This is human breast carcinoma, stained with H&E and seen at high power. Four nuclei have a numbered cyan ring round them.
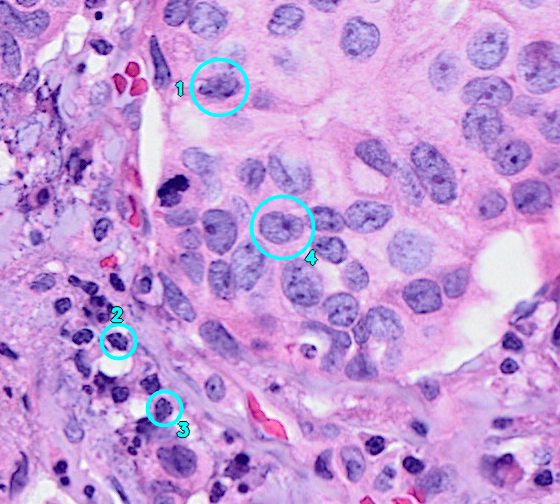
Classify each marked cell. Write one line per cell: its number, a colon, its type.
1: carcinoma cell
2: lymphocyte
3: lymphocyte
4: carcinoma cell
